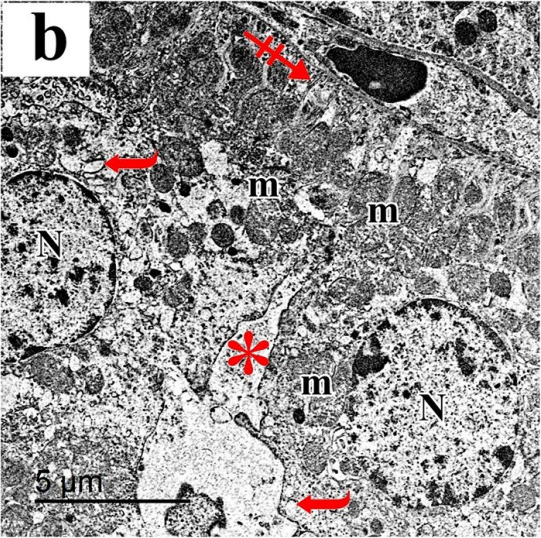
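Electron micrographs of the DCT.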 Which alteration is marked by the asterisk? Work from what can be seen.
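A broad pale gap lies between neighbouring cells. The gap widens toward the lower edge of the panel. So: Wide intercellular spaces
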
